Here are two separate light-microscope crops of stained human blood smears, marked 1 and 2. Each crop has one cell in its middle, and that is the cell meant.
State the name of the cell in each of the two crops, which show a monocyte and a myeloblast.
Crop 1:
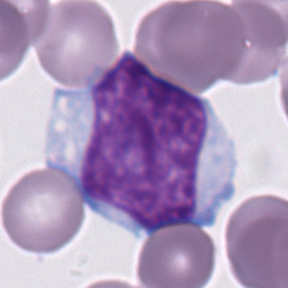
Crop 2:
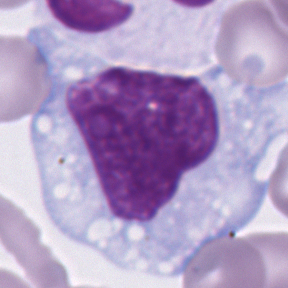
1: myeloblast
2: monocyte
